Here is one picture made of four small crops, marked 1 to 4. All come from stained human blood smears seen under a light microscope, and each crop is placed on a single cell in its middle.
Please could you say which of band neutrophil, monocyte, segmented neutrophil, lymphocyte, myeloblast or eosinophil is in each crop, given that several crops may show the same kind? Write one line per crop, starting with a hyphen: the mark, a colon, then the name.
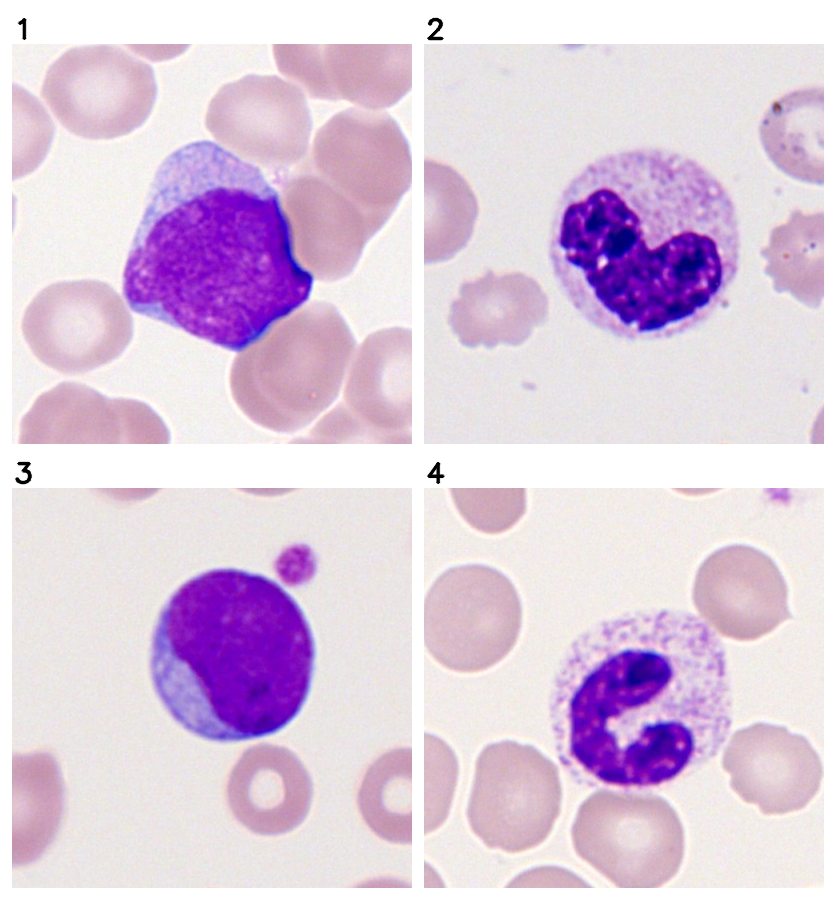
- 1: myeloblast
- 2: band neutrophil
- 3: myeloblast
- 4: band neutrophil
